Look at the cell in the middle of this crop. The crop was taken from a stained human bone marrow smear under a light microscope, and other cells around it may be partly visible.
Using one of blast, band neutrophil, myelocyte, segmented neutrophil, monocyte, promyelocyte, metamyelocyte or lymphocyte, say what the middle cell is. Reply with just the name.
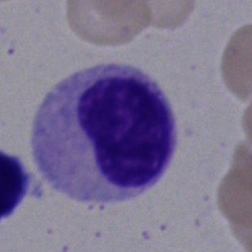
metamyelocyte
